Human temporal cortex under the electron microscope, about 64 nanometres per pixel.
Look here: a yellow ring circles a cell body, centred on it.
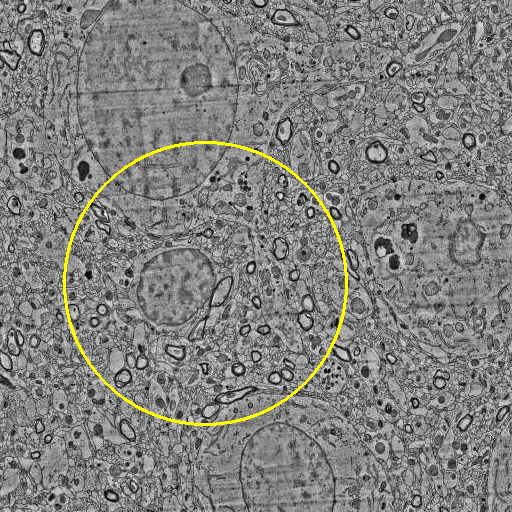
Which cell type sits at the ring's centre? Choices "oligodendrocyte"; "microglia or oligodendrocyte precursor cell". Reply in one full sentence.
The cell at the centre of the yellow ring in the picture is an oligodendrocyte.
